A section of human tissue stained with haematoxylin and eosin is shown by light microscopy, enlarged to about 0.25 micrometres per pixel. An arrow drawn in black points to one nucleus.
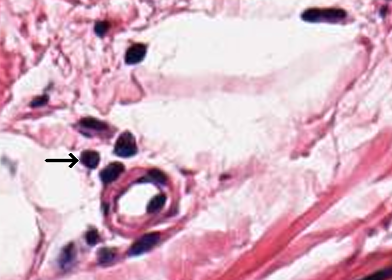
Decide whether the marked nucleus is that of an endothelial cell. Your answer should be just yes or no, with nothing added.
no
